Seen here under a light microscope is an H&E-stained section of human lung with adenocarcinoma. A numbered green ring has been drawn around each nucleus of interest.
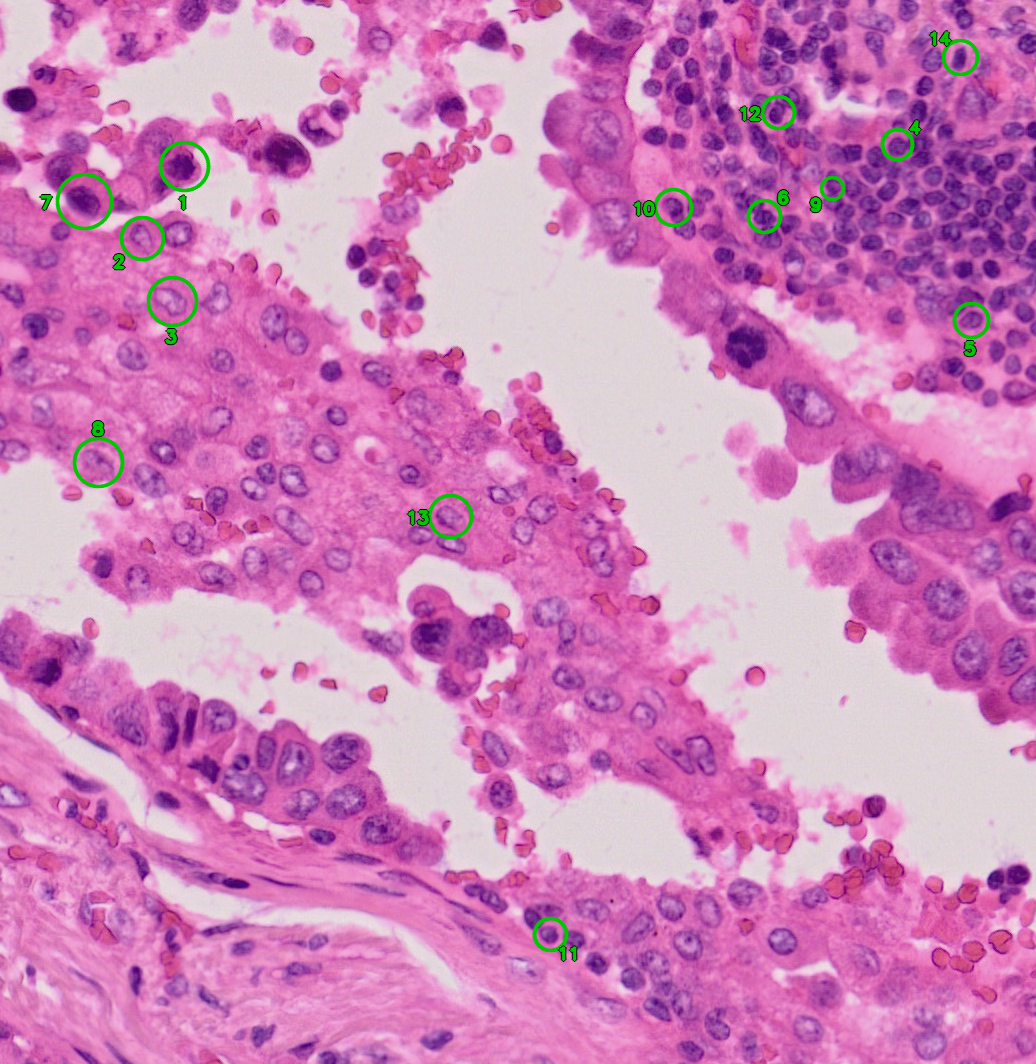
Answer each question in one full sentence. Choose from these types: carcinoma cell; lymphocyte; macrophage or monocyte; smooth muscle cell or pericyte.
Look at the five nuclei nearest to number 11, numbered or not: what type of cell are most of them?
Most of the five nuclei nearest to number 11 are those of macrophages or monocytes.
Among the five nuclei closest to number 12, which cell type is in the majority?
Lymphocytes account for more than half of the five nuclei nearest to number 12.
